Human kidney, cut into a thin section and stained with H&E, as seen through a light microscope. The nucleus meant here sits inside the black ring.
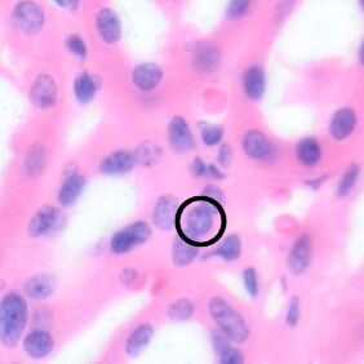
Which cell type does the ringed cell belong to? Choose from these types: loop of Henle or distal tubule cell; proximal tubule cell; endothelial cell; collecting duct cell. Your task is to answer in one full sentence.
Among the cells in this section, the ringed cell is a collecting duct cell.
